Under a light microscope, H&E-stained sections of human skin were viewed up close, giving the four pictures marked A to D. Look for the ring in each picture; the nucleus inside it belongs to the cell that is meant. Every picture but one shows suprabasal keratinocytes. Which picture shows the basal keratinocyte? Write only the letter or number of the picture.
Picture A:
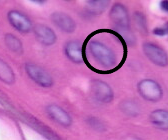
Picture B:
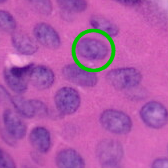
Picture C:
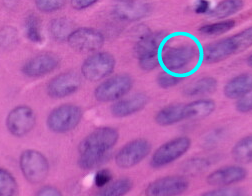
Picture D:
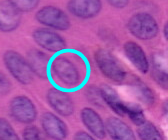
C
